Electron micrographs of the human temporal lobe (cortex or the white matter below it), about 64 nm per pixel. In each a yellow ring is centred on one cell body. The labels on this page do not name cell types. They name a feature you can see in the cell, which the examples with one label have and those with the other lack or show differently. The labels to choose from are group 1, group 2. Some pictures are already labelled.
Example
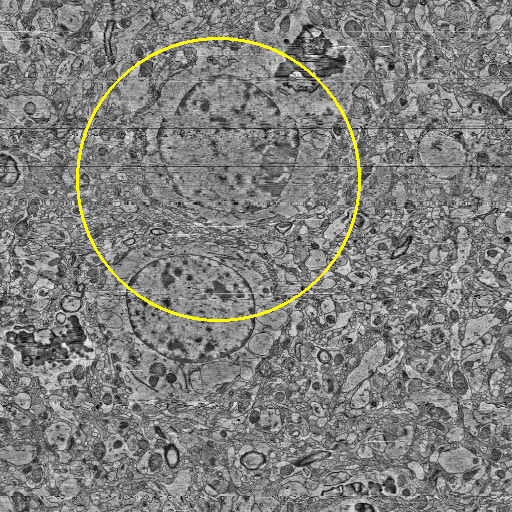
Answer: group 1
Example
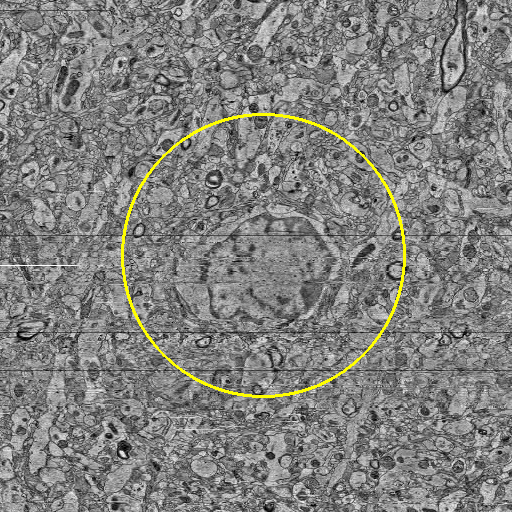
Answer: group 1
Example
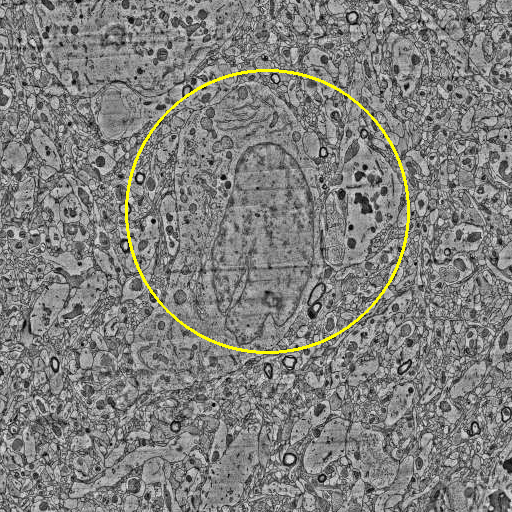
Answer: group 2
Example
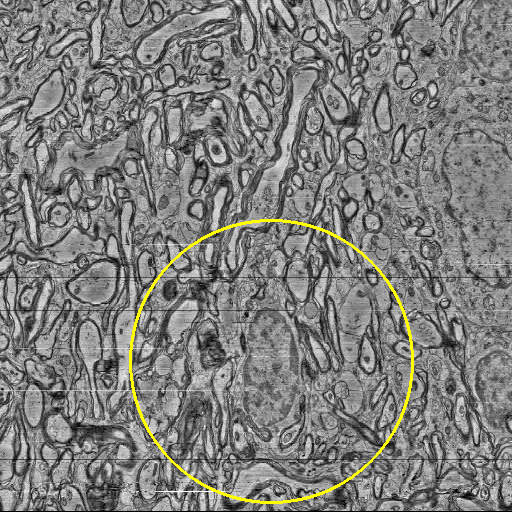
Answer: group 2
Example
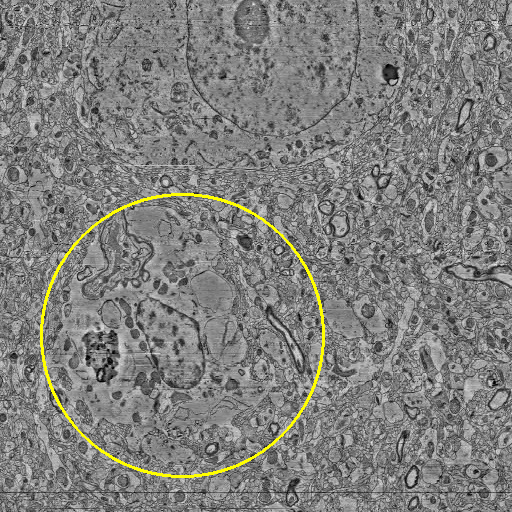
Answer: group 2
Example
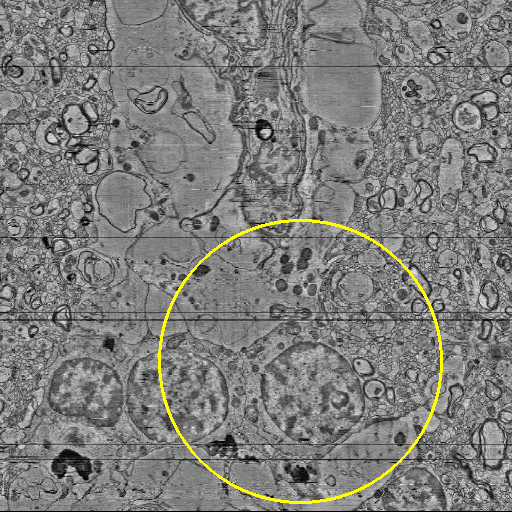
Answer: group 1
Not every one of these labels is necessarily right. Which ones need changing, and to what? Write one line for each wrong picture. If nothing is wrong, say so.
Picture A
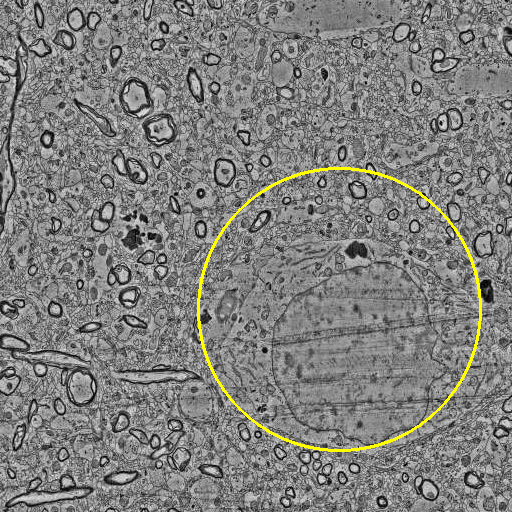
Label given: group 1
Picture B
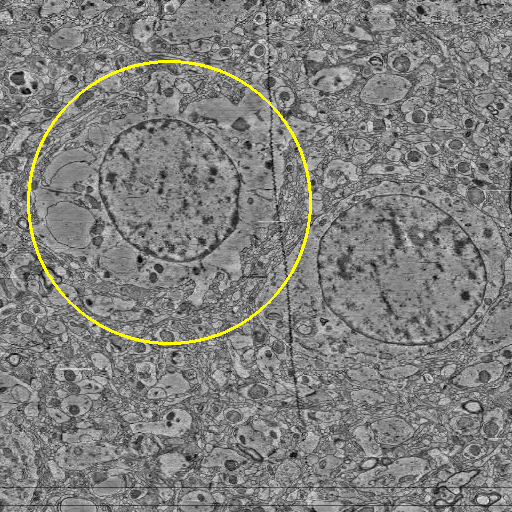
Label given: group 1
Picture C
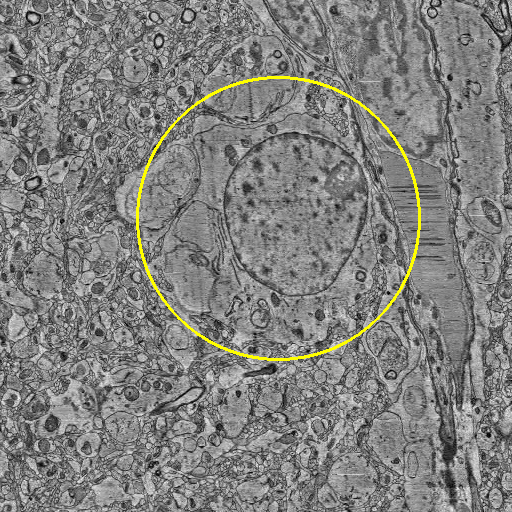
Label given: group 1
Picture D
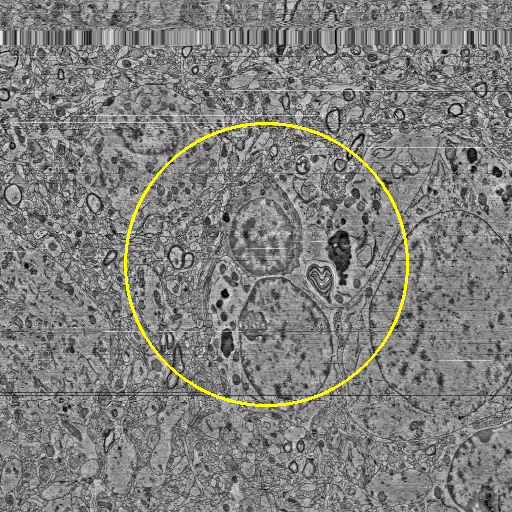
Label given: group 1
Nothing to fix; every label fits.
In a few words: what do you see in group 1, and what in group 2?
In group 1: round or nearly round nuclei. In group 2: clearly elongated nuclei.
